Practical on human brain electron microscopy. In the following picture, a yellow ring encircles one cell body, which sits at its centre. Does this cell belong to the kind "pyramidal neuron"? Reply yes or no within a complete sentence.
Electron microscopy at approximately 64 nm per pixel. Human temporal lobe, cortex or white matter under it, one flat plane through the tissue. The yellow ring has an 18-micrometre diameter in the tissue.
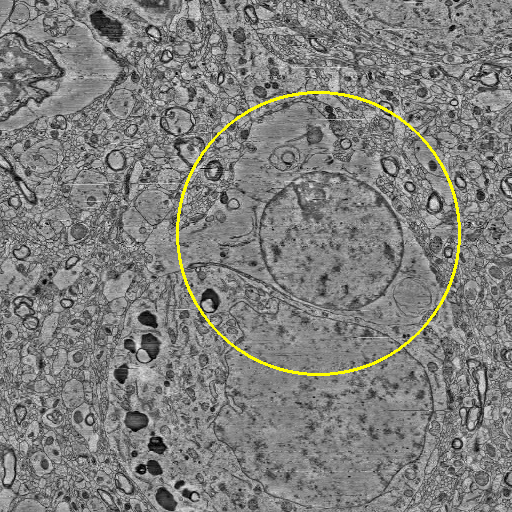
No, the cell lying within the ring at its centre is another kind.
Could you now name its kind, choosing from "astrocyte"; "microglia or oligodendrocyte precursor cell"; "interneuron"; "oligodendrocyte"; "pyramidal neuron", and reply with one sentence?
As it turns out, the cell at the ring centre is an astrocyte.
